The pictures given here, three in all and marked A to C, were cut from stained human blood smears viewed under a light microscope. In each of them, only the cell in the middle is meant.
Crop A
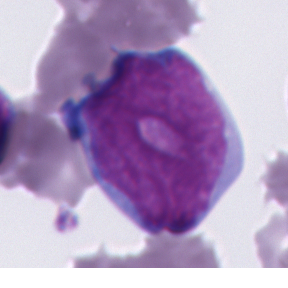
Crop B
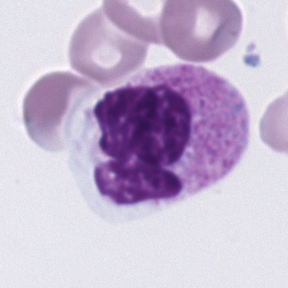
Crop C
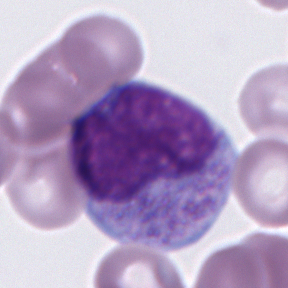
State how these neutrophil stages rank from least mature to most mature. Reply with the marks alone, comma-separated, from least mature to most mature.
A, C, B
